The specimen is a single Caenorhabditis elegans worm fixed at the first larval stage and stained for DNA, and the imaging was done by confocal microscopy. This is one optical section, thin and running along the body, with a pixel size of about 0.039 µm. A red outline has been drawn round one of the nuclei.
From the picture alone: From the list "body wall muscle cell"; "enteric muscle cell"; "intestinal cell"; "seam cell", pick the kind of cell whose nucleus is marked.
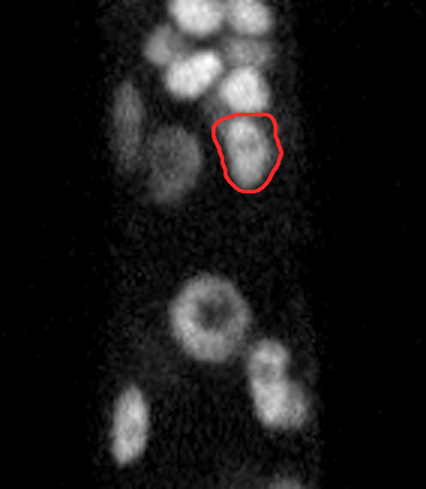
enteric muscle cell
